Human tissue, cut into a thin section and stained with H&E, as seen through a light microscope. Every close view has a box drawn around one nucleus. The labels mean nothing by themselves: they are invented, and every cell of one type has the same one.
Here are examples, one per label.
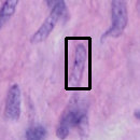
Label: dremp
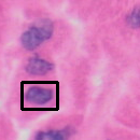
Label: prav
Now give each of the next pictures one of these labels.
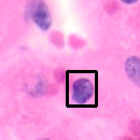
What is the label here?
prav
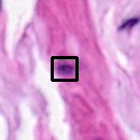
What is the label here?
dremp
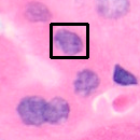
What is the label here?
prav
